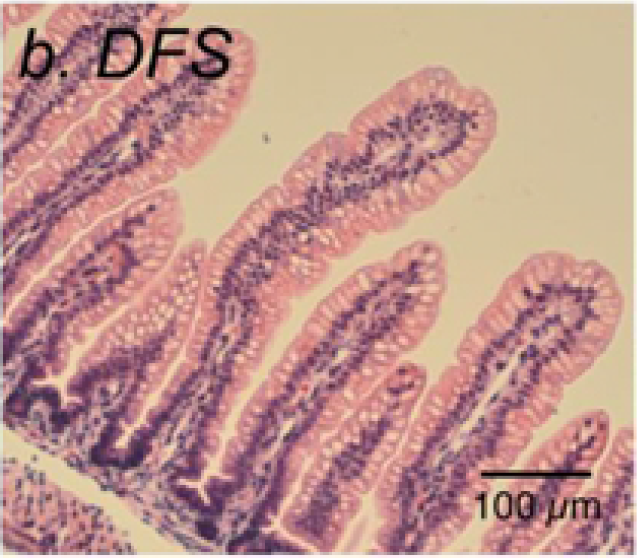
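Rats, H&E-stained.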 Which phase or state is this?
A: Normal gut histology with well-preserved villi structure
